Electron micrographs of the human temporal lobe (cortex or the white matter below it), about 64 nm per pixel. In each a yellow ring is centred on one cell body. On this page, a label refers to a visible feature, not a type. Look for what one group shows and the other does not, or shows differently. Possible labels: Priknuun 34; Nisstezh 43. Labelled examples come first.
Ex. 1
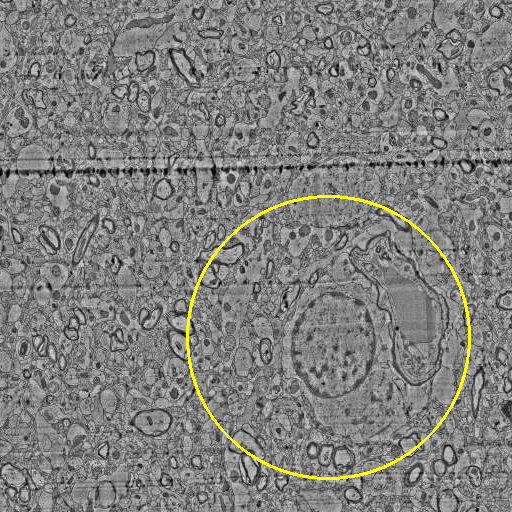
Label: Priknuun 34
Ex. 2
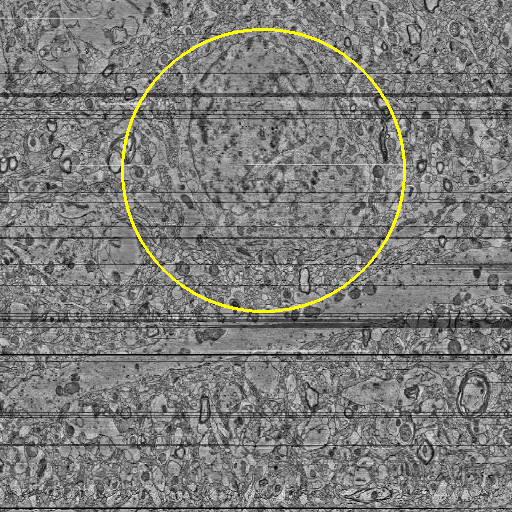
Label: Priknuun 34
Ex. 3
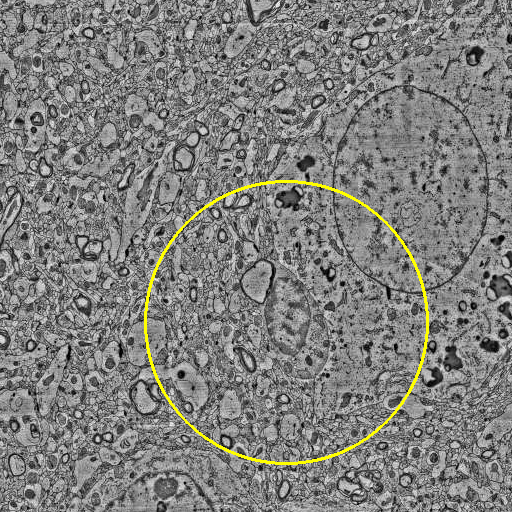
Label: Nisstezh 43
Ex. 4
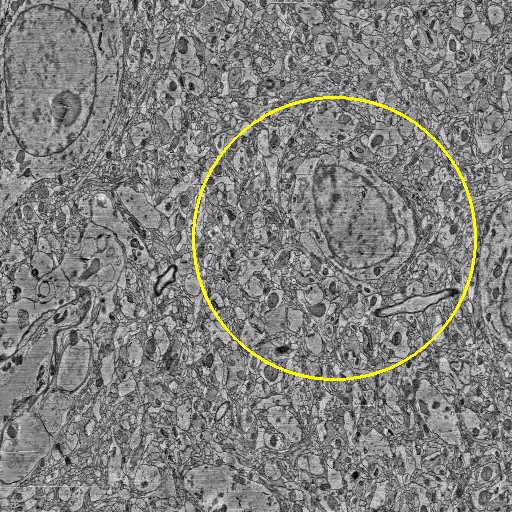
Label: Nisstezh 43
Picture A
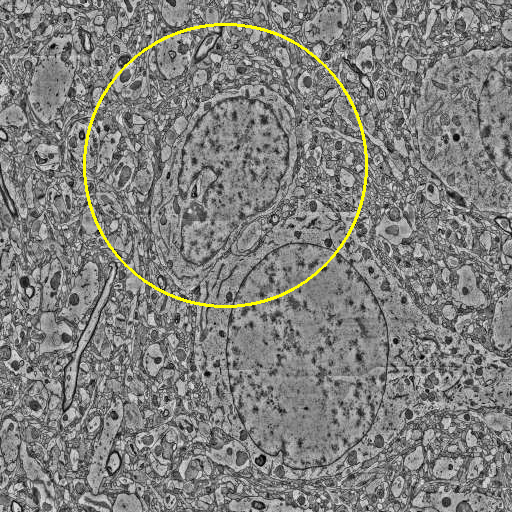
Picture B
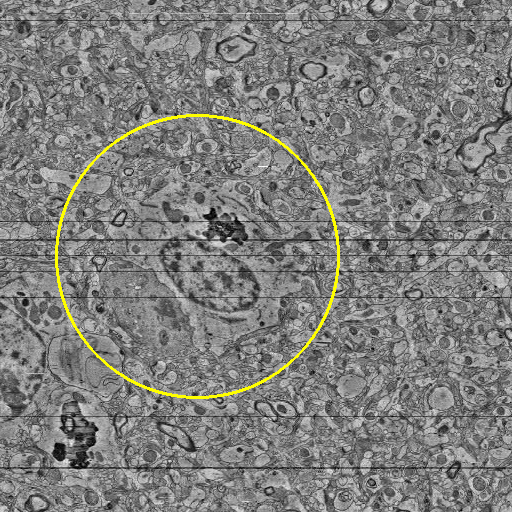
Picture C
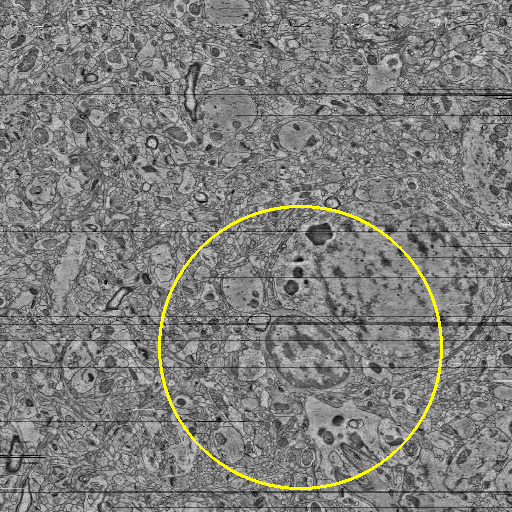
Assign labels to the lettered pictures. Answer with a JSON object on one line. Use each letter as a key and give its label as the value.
{"A": "Nisstezh 43", "B": "Nisstezh 43", "C": "Nisstezh 43"}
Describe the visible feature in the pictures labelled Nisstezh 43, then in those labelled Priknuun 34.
Seen in Nisstezh 43: clearly elongated nuclei; seen in Priknuun 34: round or nearly round nuclei.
